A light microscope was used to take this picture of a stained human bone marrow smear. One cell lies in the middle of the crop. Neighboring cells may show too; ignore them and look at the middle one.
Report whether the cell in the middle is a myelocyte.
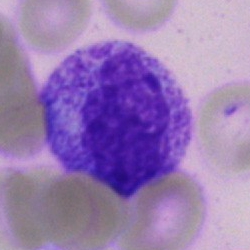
yes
